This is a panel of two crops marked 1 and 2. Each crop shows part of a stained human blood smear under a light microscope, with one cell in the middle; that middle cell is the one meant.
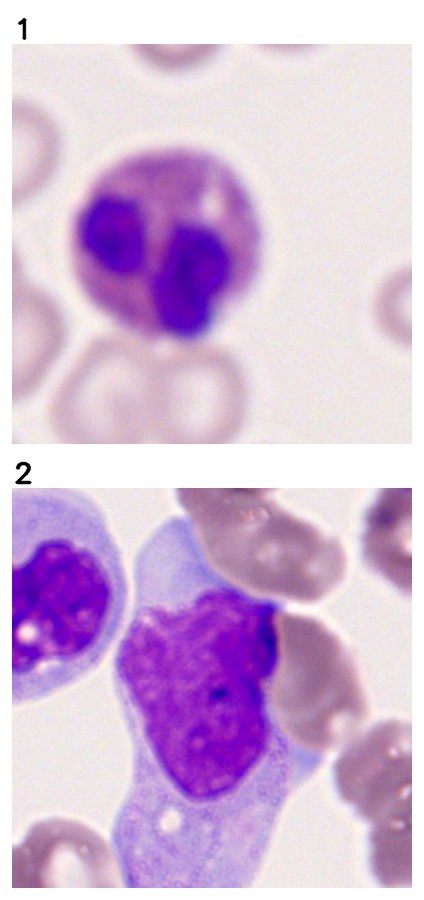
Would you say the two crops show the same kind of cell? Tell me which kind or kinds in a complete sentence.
No, crop 1 is the one with an eosinophil; crop 2 has a monocyte.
